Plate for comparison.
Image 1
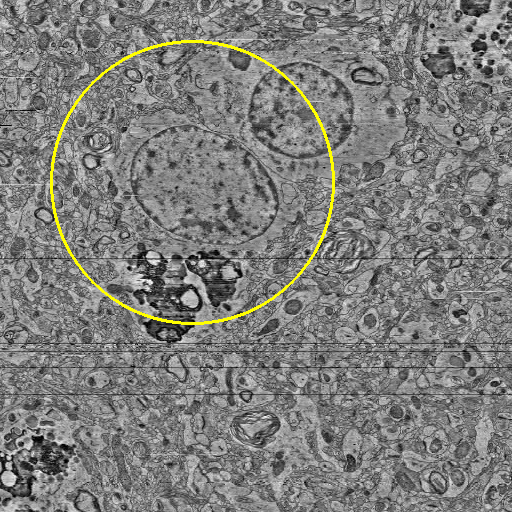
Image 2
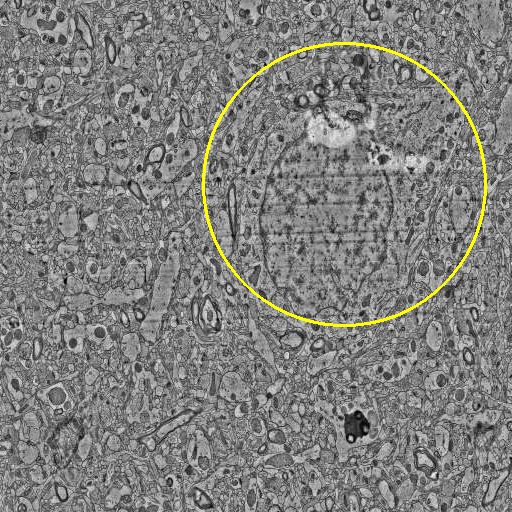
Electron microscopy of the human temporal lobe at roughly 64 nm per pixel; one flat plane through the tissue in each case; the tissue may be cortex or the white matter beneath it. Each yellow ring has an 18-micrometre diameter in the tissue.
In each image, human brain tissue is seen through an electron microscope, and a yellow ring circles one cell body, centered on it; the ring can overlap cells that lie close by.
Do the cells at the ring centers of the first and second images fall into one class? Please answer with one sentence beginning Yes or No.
No, the first and second images show two classes of cell at the ring centers.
